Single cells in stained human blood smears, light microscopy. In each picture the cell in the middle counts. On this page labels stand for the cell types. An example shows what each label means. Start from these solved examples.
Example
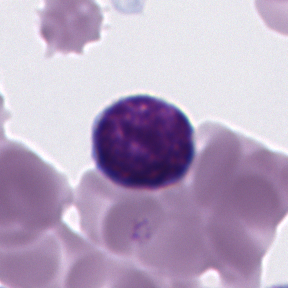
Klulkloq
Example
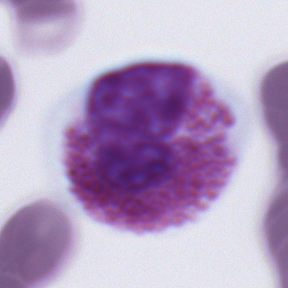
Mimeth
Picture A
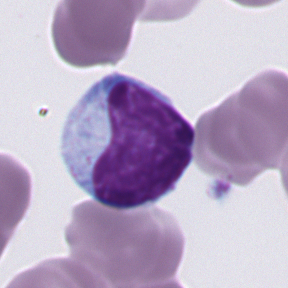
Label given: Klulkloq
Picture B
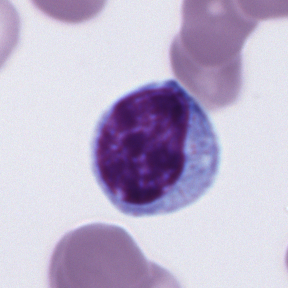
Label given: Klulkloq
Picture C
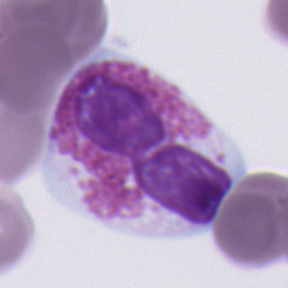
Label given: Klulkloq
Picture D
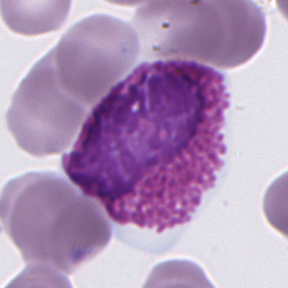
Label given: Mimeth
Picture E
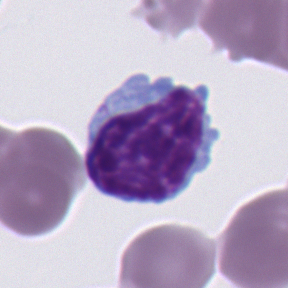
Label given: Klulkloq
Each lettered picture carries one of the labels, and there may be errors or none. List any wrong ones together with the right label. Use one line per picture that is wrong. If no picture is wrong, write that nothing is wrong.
C: change Klulkloq to Mimeth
